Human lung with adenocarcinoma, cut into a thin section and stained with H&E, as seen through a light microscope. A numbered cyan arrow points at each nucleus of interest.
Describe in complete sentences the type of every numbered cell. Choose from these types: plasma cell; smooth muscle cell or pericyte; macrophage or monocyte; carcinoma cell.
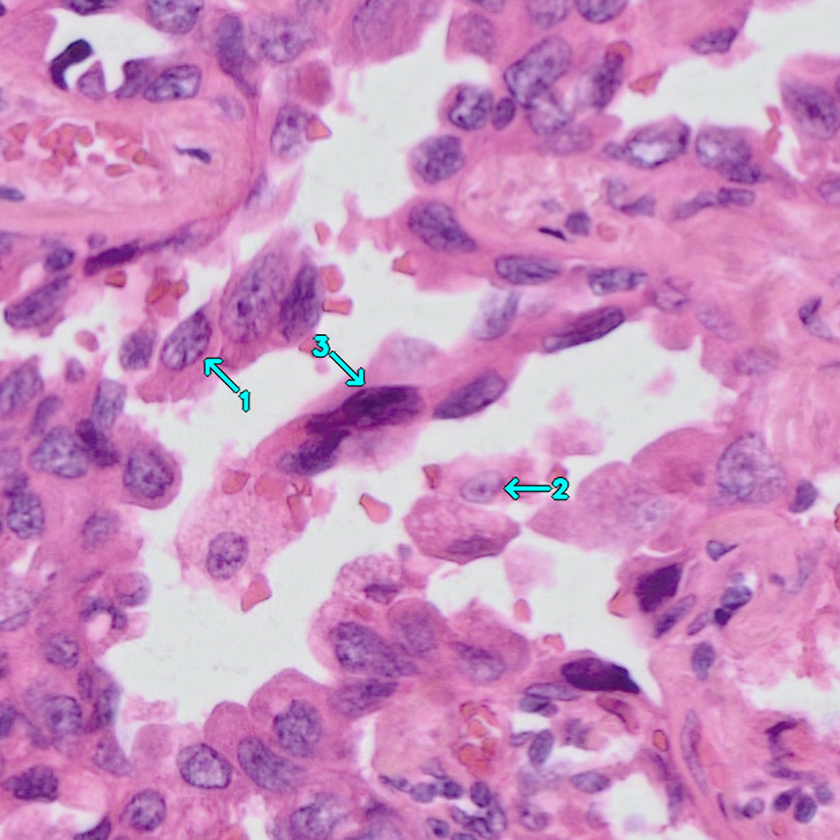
Cells 1 and 3 are carcinoma cells. Cell 2 is a macrophage or monocyte.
